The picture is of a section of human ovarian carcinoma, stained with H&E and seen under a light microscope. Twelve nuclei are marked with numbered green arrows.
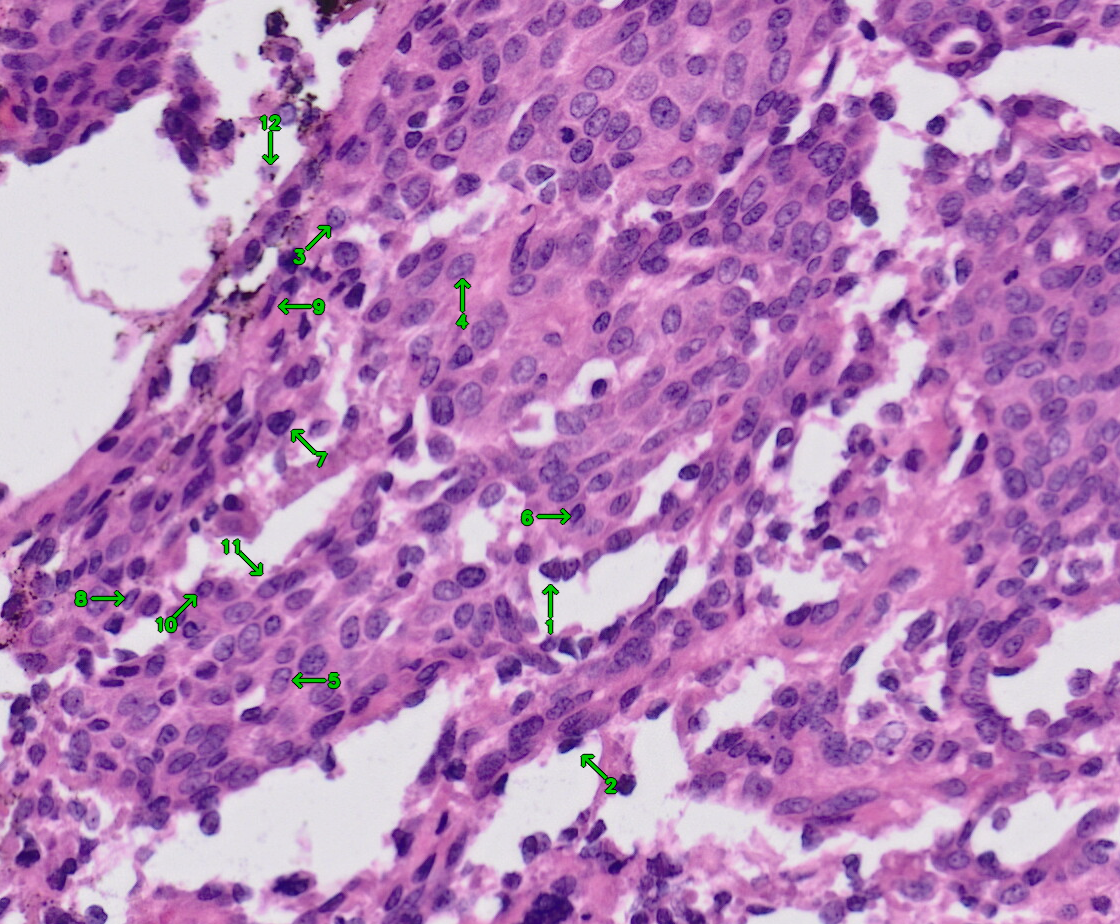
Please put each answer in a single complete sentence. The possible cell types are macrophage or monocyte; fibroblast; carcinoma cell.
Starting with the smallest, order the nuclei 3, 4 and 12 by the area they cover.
Smallest first, the nuclei run 12, 3, 4.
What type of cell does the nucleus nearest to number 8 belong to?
The nucleus nearest to number 8 is that of a carcinoma cell.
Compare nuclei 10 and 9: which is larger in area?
Nucleus 10 is larger, with an area about 1.5 times that of nucleus 9.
